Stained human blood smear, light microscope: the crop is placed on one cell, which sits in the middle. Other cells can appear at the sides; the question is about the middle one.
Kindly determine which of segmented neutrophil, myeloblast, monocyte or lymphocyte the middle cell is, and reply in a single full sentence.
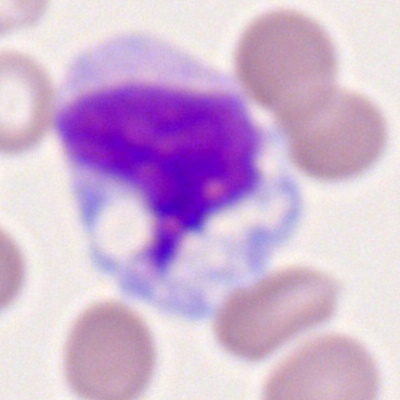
The cell at the heart of this crop is a monocyte.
